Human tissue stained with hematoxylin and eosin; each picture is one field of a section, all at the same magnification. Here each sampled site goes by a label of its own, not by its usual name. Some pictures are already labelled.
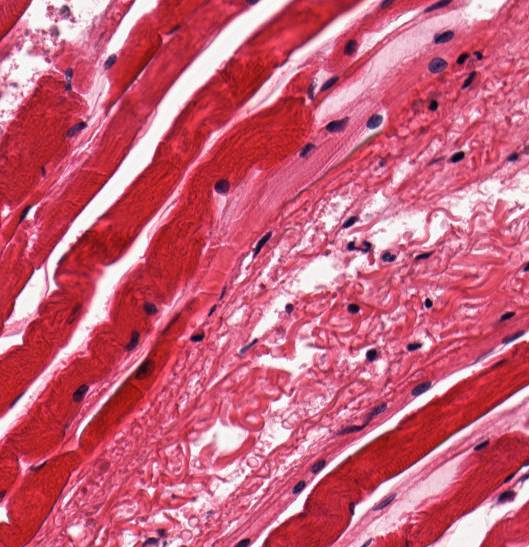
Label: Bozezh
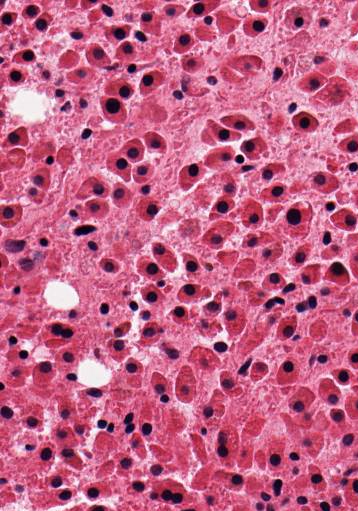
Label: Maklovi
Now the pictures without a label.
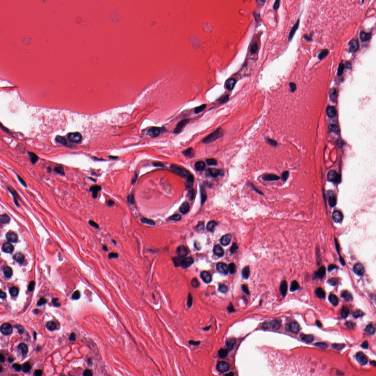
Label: Bozezh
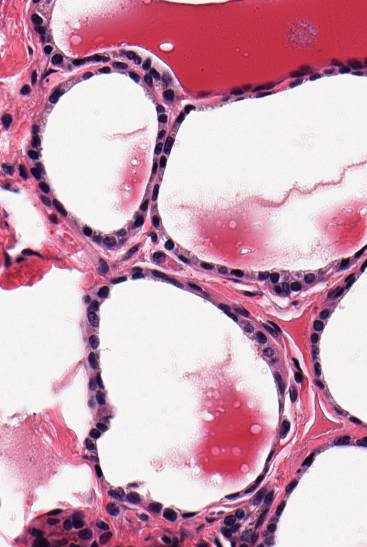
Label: Bozezh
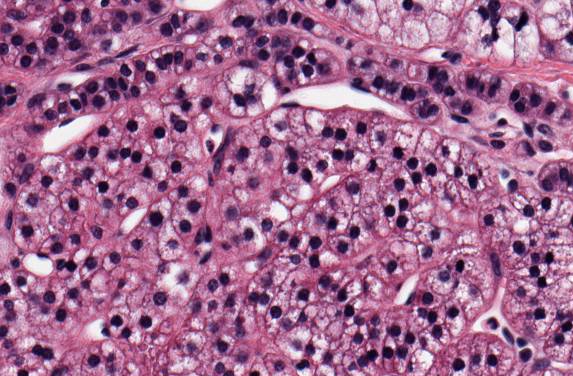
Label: Maklovi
